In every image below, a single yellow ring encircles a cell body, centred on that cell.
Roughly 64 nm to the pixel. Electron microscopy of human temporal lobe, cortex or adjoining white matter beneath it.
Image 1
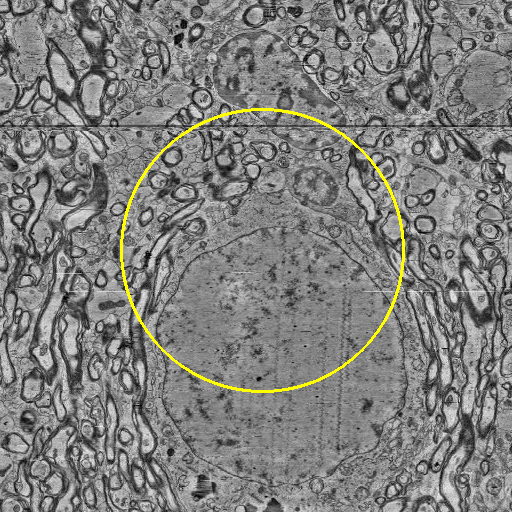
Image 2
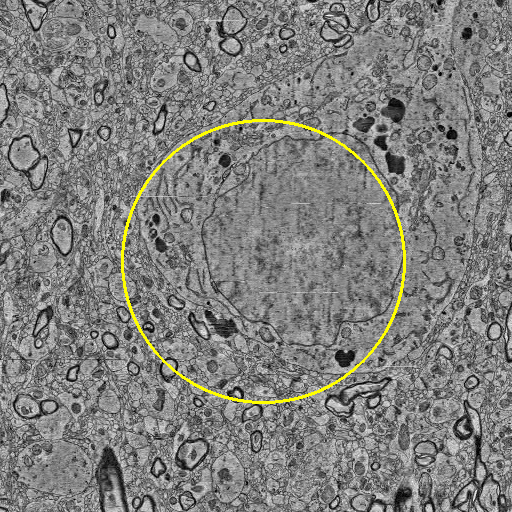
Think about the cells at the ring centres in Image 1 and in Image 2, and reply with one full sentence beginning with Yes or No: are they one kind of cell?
Yes, the cells centred in the rings of Image 1 and Image 2 are one kind of cell.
